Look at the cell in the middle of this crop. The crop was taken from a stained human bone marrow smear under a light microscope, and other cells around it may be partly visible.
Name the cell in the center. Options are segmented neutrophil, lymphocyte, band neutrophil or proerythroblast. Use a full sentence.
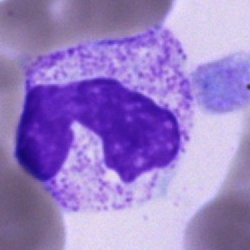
At the middle of the frame sits a band neutrophil.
